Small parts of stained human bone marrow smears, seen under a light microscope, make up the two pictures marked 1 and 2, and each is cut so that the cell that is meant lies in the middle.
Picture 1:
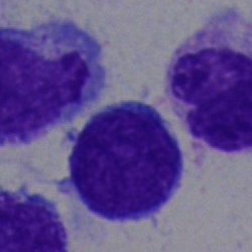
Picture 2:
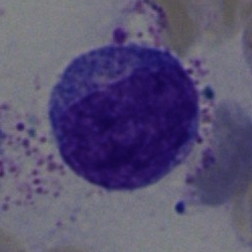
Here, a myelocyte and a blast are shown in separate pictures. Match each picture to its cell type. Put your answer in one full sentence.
The cell in picture 1 is a blast, and the one in picture 2 is a myelocyte.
